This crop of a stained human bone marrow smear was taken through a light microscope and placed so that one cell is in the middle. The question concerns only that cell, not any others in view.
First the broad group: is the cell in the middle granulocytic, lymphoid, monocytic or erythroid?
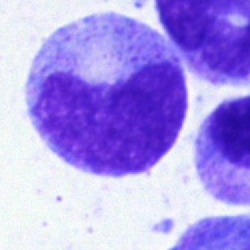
granulocytic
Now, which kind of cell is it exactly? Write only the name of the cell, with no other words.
metamyelocyte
